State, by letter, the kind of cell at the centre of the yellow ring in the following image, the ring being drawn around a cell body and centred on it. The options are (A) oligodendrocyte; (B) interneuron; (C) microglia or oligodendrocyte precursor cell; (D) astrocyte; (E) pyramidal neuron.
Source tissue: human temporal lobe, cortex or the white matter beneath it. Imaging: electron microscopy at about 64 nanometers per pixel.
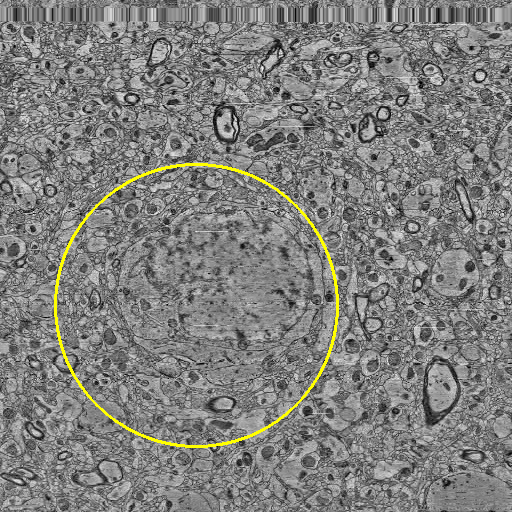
B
